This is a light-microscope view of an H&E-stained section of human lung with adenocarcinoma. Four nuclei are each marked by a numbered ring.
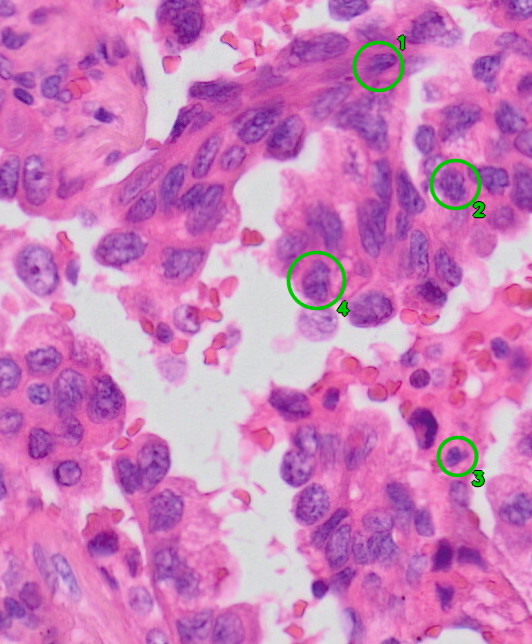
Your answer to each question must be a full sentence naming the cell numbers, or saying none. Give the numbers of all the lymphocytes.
Only at number 3 is there a lymphocyte among the marked cells.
